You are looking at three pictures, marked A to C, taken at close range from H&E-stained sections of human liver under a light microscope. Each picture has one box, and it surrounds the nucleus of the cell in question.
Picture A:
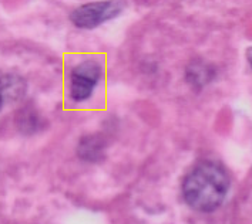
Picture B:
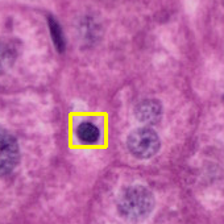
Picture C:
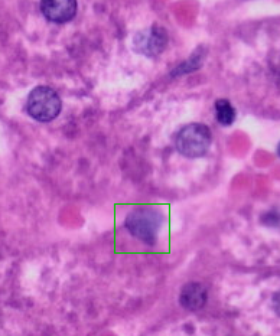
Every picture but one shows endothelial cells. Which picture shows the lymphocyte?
B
